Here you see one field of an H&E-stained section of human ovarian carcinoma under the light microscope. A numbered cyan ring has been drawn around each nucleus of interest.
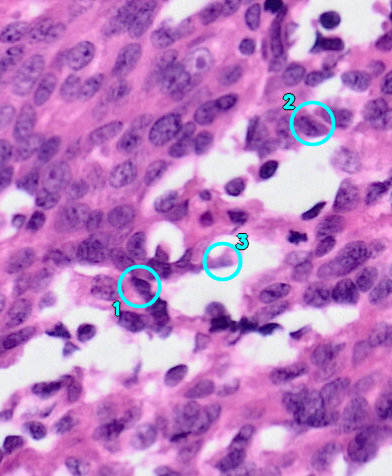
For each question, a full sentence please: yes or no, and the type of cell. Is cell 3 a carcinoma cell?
Yes, the cell shown as number 3 is a carcinoma cell.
